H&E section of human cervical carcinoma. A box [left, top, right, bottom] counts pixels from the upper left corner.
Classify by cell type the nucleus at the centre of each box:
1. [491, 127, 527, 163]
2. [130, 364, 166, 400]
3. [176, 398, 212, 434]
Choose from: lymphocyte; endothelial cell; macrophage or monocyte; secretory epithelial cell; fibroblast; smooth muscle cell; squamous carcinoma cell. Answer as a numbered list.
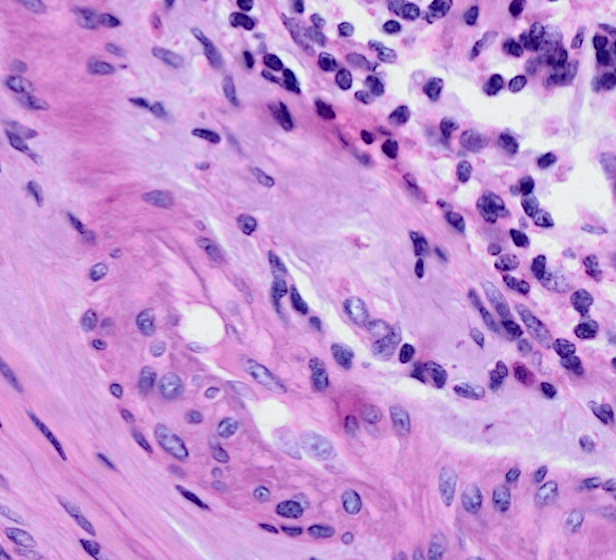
1. lymphocyte
2. smooth muscle cell
3. smooth muscle cell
